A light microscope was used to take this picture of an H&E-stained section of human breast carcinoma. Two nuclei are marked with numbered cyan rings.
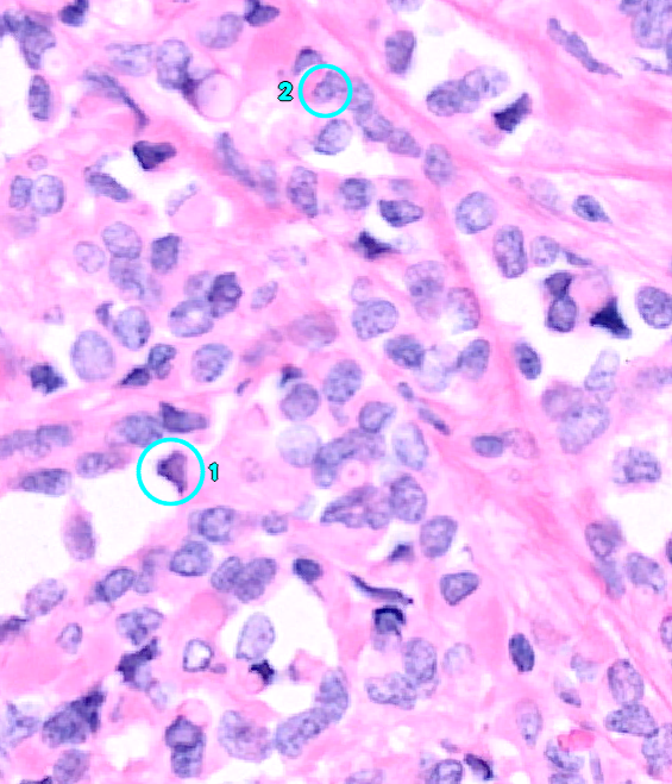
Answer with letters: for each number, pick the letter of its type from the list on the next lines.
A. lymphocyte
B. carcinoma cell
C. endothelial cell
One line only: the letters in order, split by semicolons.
B; C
